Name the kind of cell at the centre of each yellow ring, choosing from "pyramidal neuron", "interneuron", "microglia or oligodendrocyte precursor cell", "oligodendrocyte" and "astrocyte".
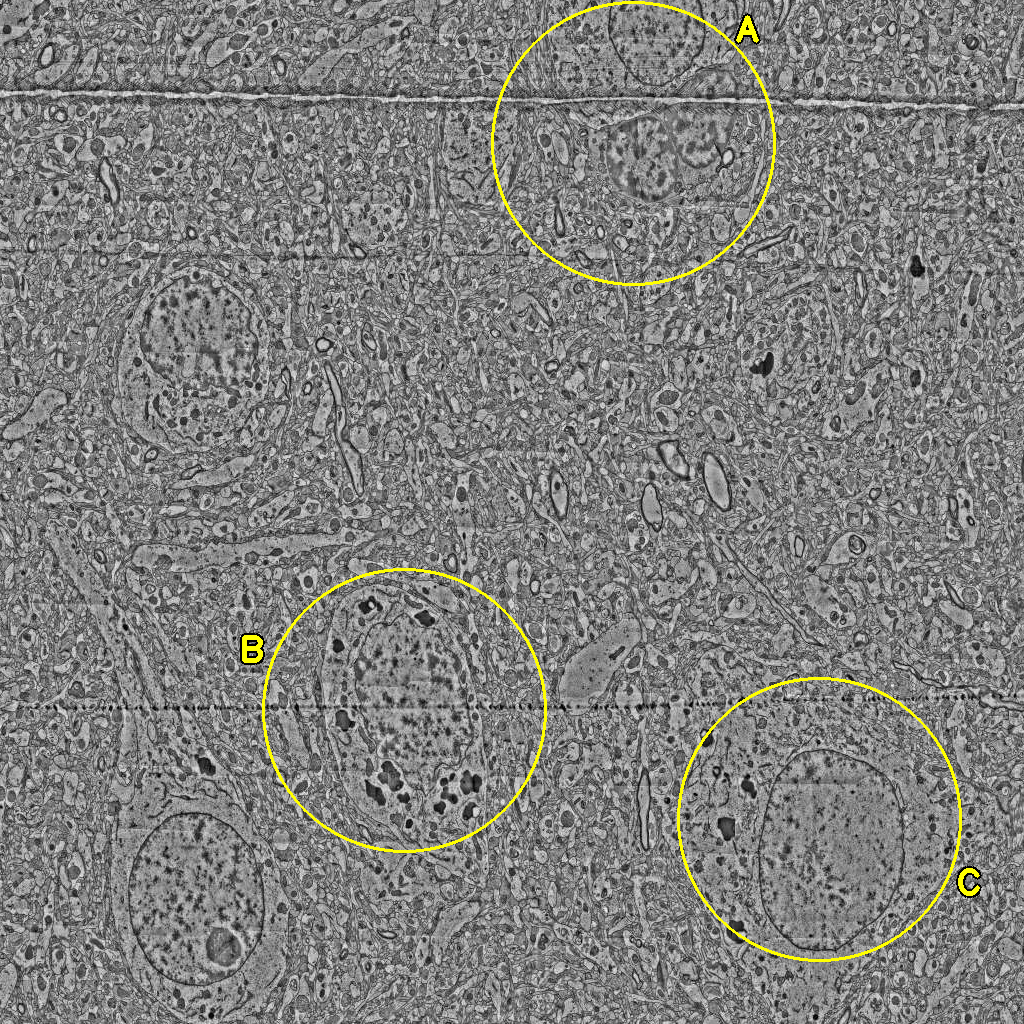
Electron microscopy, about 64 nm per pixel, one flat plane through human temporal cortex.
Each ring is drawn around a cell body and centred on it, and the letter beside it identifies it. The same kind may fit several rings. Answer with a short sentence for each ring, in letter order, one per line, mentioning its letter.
Ring A is drawn around an oligodendrocyte.
Ring B is drawn around an interneuron.
Ring C is drawn around a pyramidal neuron.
